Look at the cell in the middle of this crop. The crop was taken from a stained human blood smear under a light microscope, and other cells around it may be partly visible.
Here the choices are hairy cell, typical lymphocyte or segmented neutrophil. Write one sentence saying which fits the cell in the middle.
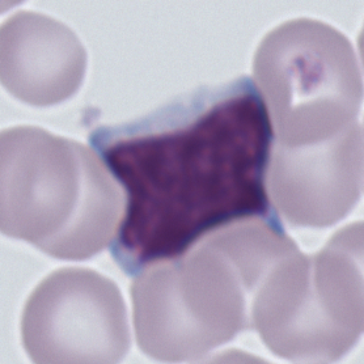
Regarding the central cell, it is a typical lymphocyte.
